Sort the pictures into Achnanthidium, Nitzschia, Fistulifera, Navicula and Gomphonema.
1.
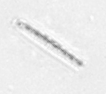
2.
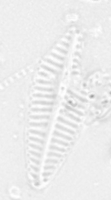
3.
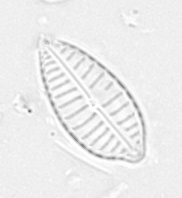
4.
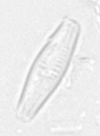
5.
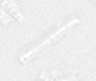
Nitzschia: 1
Navicula: 2
Gomphonema: 3
Achnanthidium: 4
Fistulifera: 5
